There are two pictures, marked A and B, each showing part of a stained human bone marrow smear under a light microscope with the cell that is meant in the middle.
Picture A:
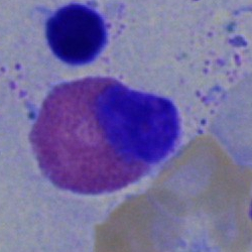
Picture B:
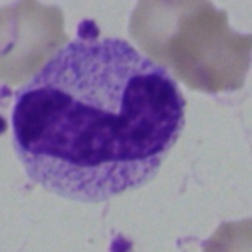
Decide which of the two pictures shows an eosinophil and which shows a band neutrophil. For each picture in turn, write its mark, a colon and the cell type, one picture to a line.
A: eosinophil
B: band neutrophil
